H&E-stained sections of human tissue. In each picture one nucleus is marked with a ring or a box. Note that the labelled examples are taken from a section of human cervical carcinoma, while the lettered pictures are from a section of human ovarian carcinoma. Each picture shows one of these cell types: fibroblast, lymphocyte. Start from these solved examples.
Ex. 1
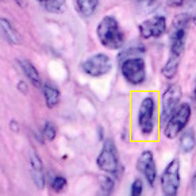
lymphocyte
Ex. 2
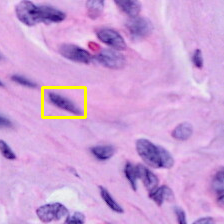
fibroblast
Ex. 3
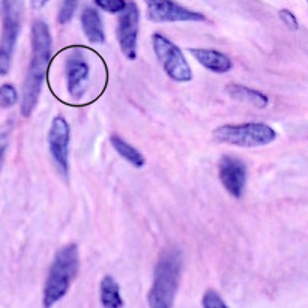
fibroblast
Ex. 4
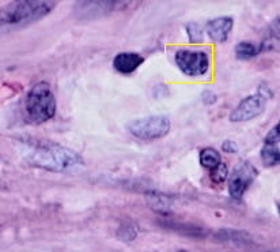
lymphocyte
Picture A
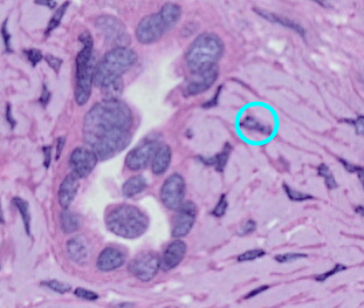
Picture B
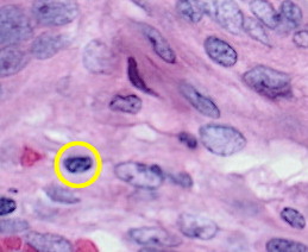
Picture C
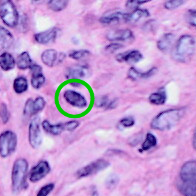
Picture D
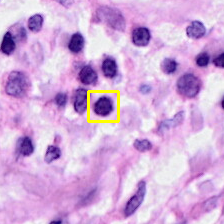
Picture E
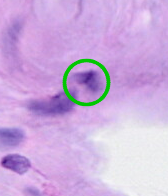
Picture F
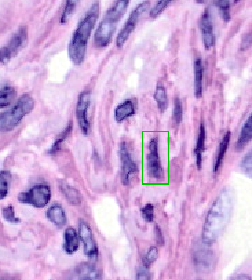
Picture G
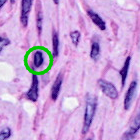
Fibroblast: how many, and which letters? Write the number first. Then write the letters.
Count: 3 (A, E, F)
